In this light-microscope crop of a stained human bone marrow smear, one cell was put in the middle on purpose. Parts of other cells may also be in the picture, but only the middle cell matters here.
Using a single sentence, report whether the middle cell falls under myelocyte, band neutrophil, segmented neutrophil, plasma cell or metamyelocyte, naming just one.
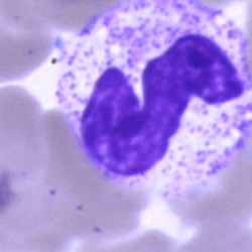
The middle position in this crop is taken by a band neutrophil.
